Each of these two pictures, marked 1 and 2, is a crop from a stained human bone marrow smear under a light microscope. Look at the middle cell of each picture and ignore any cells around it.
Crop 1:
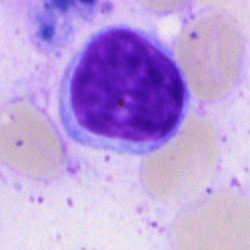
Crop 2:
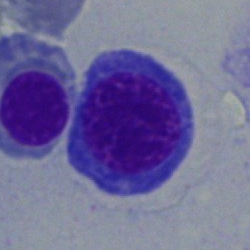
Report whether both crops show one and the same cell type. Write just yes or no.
no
